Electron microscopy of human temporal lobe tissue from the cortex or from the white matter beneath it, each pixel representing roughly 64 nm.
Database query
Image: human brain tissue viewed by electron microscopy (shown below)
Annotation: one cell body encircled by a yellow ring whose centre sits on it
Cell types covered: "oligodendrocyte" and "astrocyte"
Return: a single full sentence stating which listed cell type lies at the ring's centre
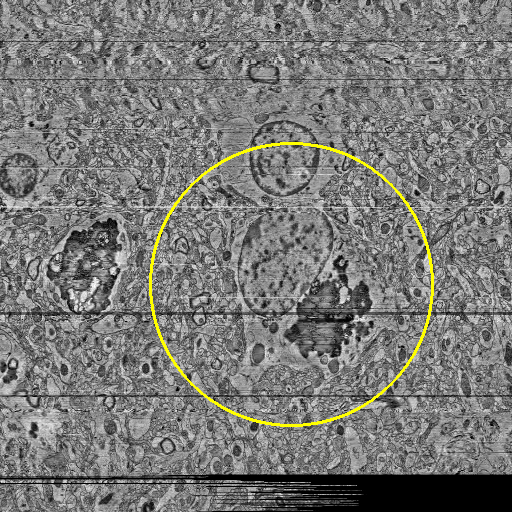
In the image, the cell lying at the ring's centre is an astrocyte.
